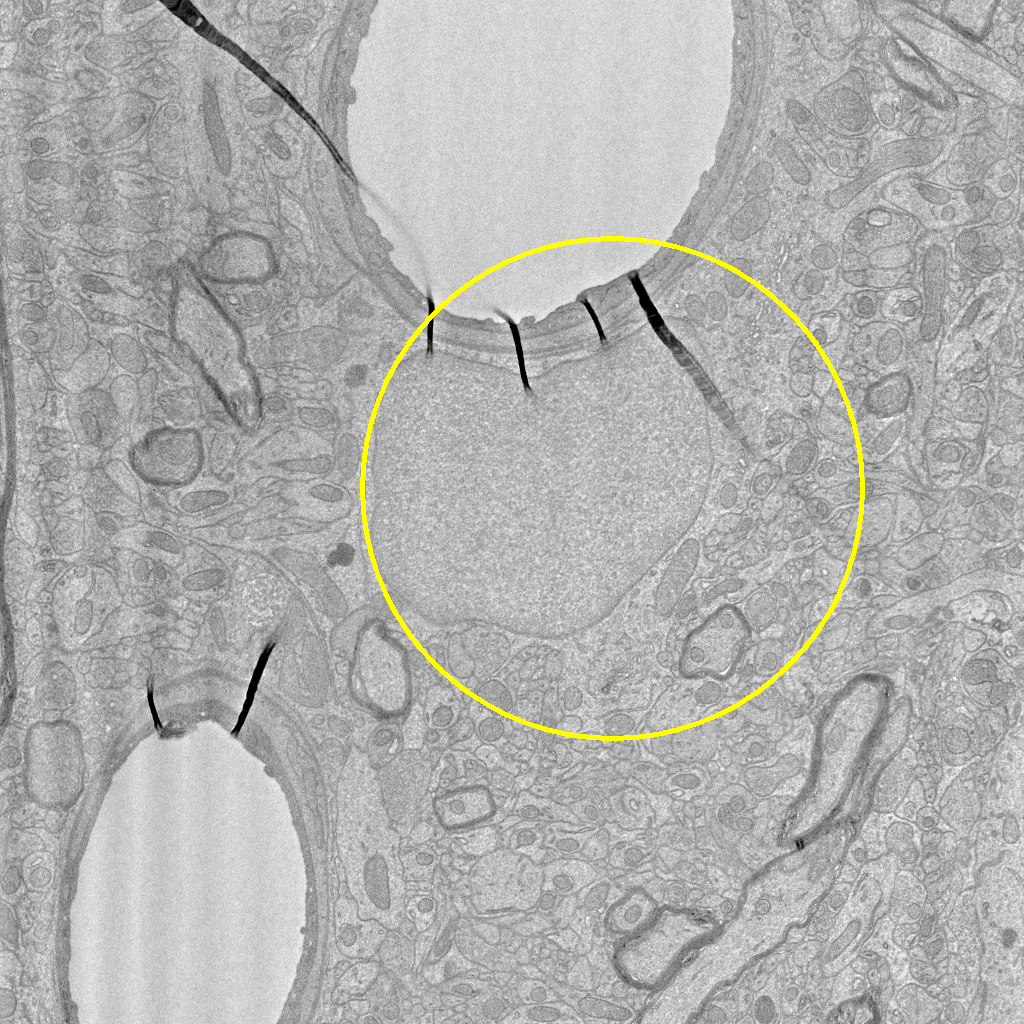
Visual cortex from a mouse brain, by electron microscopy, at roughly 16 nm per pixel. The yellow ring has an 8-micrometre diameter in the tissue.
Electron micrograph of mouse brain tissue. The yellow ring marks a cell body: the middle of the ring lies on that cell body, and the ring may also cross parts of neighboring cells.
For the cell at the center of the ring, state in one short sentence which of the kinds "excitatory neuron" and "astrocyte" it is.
This ring's center lies on an astrocyte.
